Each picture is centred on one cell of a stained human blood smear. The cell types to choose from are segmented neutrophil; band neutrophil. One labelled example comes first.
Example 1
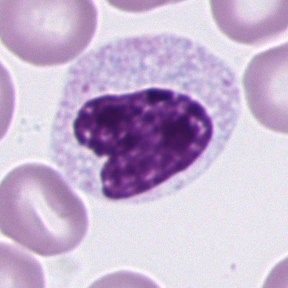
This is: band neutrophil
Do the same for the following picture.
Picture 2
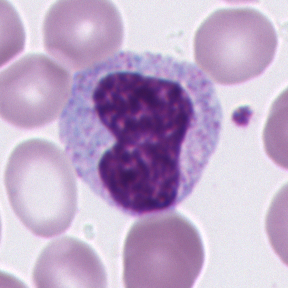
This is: band neutrophil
